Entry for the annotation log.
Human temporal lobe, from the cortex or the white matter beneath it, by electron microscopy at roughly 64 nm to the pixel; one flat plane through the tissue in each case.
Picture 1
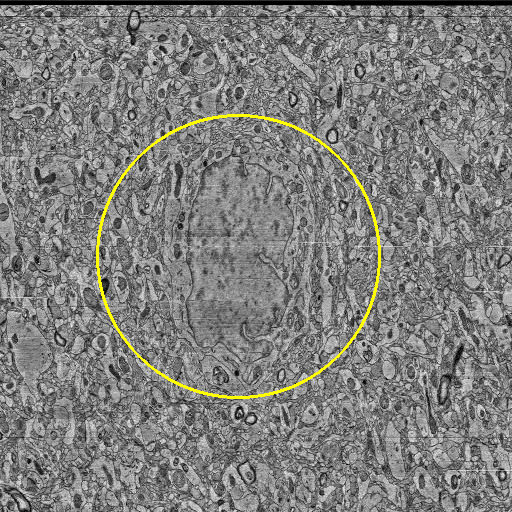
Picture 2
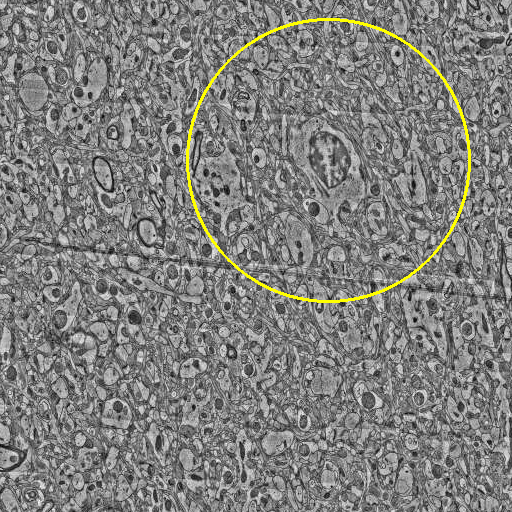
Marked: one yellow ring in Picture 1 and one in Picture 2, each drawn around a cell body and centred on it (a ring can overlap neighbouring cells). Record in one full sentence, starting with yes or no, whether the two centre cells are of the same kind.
No, the two cells are of two kinds.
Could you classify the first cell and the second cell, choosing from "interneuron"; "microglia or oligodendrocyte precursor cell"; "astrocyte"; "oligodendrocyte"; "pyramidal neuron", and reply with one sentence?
The second cell is an astrocyte, while the first is an interneuron.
